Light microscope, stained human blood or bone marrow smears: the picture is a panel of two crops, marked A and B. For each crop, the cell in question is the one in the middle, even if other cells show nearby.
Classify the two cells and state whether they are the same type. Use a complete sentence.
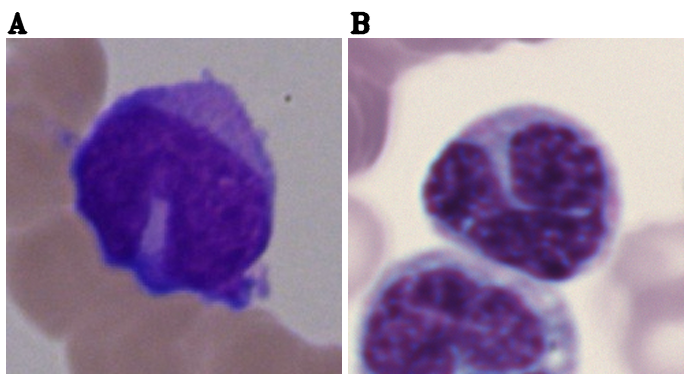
Yes, the two crops show monocytes, one cell each.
